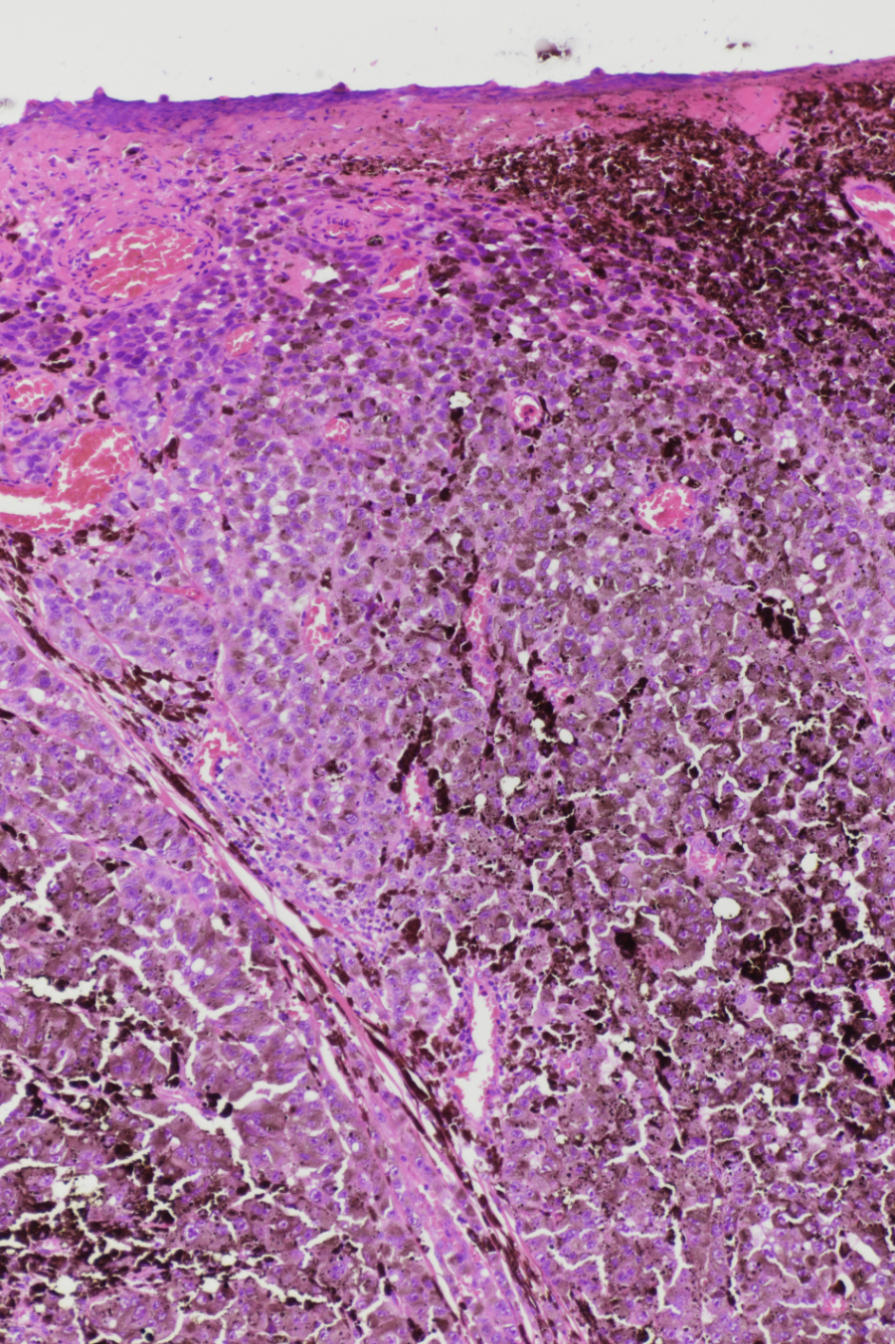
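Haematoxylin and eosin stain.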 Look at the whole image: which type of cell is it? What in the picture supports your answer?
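Melanocytes. Large polygonal cells with round nuclei and ample cytoplasm grouped in nests and sheets. Dark brown-black granular pigment is associated with the cells.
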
